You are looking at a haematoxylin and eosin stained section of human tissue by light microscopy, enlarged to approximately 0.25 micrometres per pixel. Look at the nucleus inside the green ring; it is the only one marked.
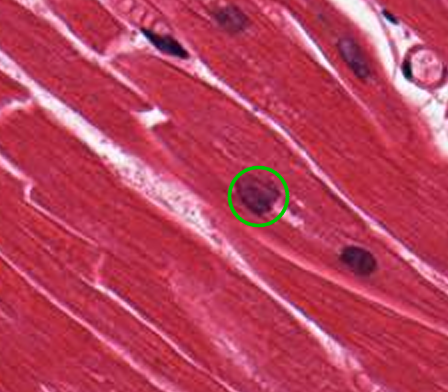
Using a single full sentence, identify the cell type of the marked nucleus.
The cell bearing the marked nucleus is a cardiomyocyte.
